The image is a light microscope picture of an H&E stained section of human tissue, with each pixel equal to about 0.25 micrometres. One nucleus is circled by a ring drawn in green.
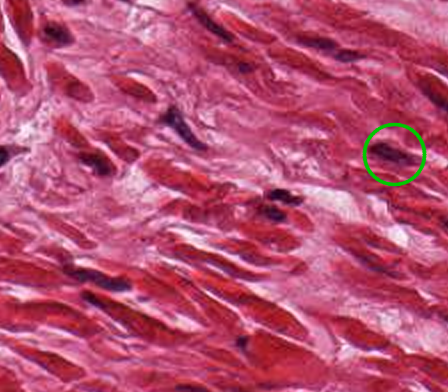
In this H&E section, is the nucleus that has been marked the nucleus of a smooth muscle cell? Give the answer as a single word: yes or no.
yes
